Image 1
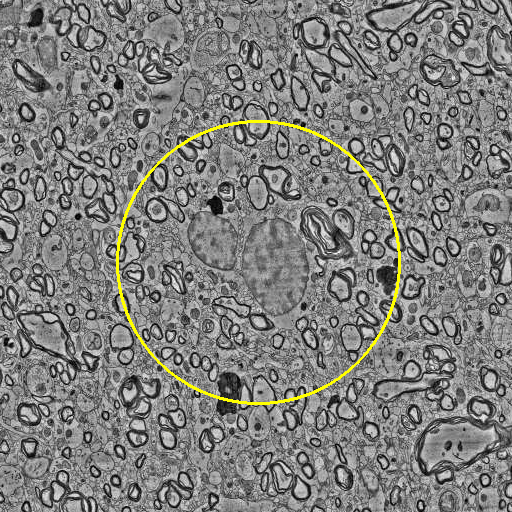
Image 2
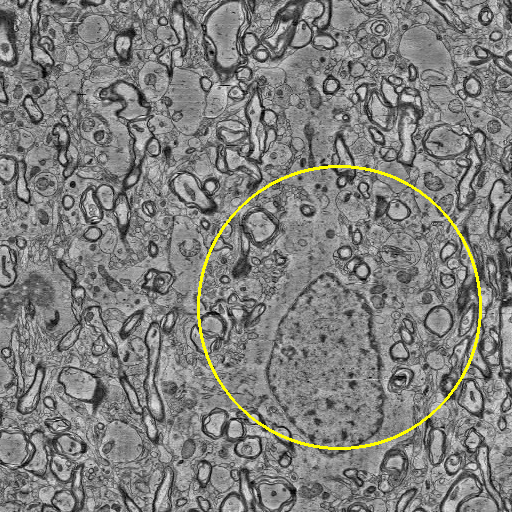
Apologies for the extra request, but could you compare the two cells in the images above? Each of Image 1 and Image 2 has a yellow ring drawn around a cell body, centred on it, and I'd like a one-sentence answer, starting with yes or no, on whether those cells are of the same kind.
No, the two cells are of two kinds.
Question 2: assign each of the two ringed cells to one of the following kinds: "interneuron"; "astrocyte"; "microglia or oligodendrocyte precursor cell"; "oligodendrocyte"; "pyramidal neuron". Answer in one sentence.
The two cells are an oligodendrocyte in the first picture and an astrocyte in the second.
